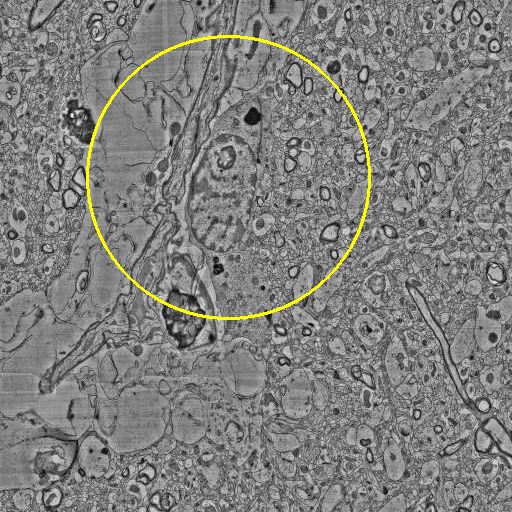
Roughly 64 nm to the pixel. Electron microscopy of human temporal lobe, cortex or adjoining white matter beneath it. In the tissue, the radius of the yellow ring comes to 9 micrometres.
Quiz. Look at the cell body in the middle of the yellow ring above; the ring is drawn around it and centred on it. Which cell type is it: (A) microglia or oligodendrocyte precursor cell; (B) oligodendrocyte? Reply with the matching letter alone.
B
